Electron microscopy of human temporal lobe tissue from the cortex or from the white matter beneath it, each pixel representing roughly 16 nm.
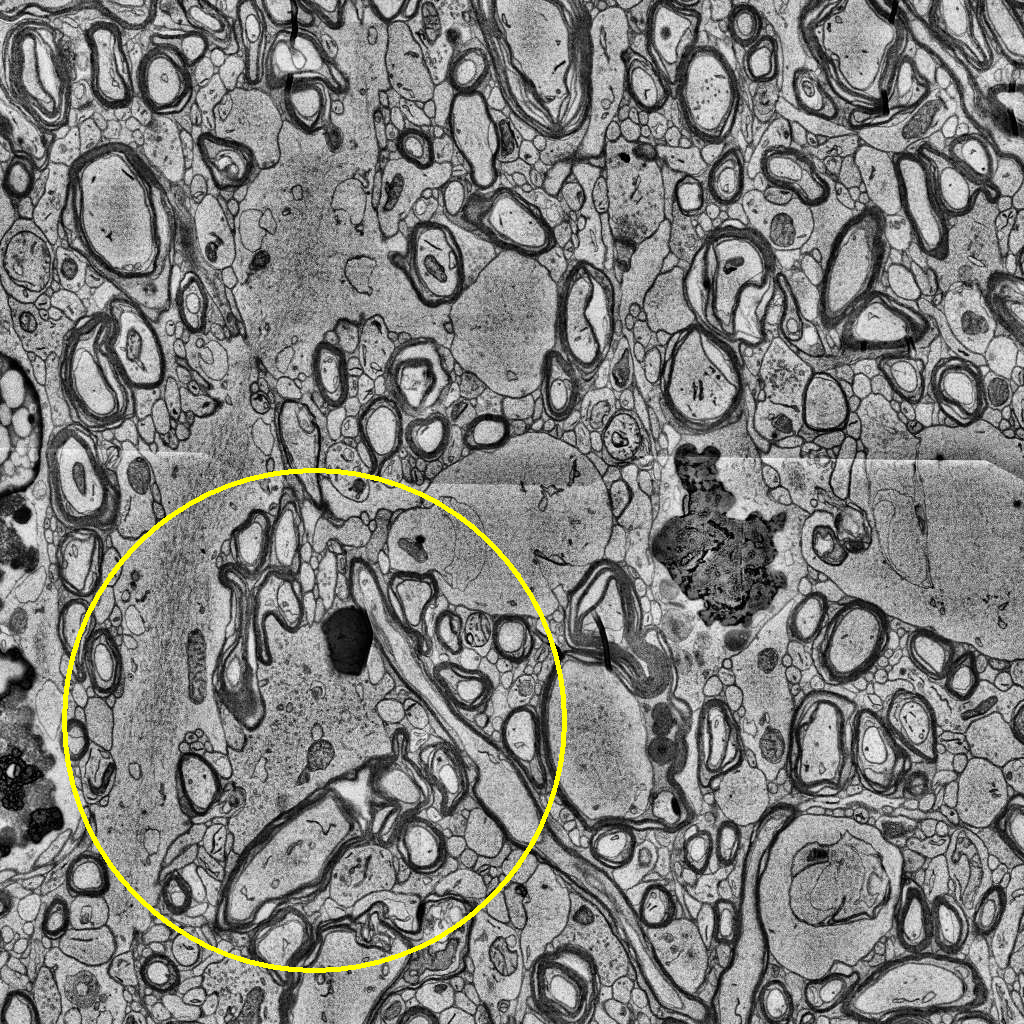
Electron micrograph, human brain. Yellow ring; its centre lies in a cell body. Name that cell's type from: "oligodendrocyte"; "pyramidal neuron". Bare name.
oligodendrocyte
